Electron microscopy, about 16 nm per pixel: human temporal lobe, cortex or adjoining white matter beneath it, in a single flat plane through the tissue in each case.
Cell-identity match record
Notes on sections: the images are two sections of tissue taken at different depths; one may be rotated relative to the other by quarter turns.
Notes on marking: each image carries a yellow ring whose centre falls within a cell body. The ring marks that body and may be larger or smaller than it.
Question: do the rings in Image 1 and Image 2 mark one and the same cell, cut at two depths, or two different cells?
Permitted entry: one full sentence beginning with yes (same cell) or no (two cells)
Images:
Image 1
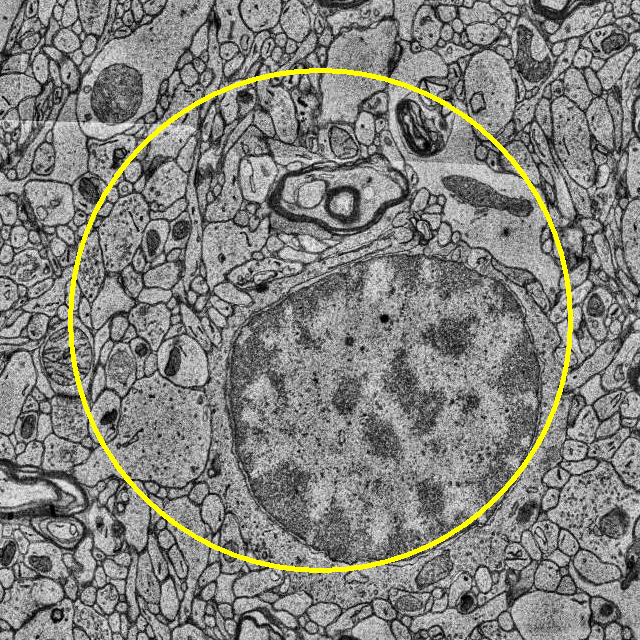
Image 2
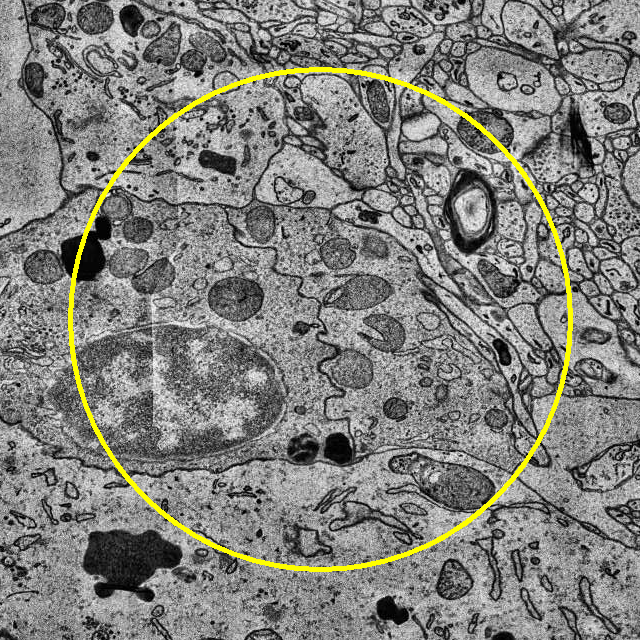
No, the yellow rings highlight two different cells in the tissue.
